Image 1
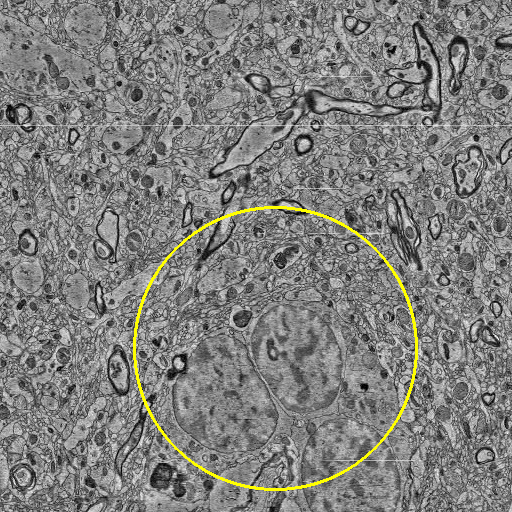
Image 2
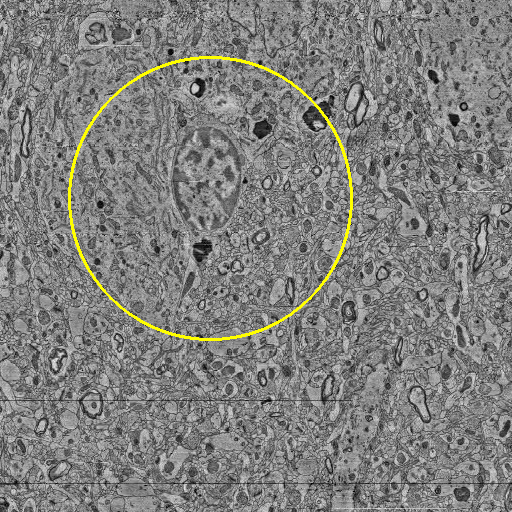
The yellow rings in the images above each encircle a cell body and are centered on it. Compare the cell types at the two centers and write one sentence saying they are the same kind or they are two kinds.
Taken together, the two cells at the ring centers are the same kind.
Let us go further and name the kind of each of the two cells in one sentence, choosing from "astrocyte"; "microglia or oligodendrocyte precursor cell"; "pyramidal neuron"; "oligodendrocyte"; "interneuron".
Each of the ringed cells, first and second, is an oligodendrocyte.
